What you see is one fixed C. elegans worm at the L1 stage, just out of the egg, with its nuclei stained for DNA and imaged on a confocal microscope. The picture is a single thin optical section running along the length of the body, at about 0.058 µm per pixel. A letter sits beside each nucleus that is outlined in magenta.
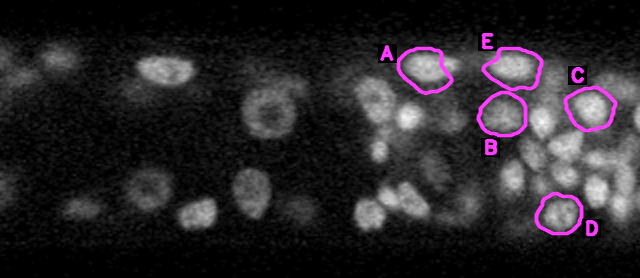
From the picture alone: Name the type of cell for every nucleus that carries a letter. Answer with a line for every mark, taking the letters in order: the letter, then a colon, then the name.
A: neuron
B: pharyngeal muscle cell
C: neuron
D: body wall muscle cell
E: neuron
